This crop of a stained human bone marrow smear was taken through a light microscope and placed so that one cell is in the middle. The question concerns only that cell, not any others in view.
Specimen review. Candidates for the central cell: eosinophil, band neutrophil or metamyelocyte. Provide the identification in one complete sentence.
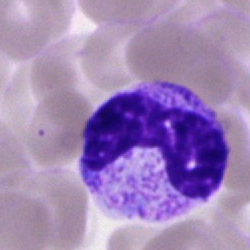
In the middle of this smear crop, the cell is a band neutrophil.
